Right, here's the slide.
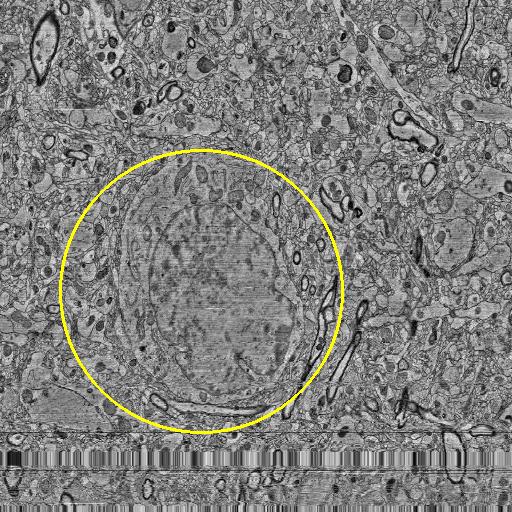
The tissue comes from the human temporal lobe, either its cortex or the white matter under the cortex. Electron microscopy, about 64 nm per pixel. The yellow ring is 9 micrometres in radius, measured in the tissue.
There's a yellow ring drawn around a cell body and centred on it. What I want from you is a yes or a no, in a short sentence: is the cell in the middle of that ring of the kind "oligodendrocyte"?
No, it's of some other kind.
